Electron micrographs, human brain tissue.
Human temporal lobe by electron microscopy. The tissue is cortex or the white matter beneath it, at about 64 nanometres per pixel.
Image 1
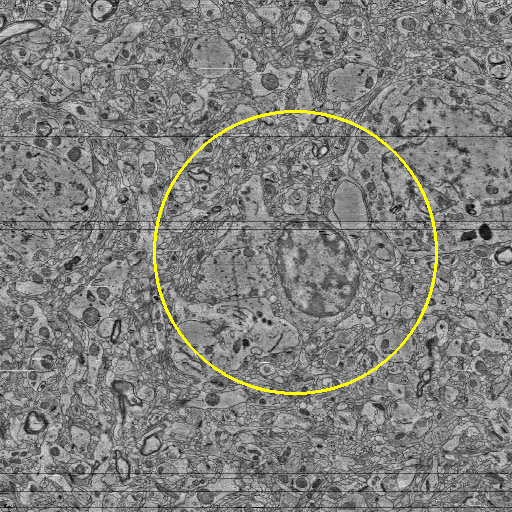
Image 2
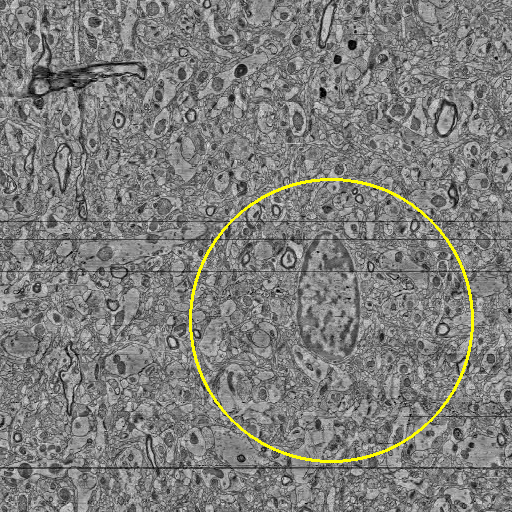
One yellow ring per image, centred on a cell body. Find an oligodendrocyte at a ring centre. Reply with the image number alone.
1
